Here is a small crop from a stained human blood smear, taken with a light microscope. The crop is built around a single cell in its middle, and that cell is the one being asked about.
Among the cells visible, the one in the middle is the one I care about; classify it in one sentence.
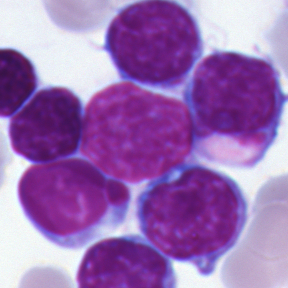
The cell at the middle of the crop is recognized as a blast.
